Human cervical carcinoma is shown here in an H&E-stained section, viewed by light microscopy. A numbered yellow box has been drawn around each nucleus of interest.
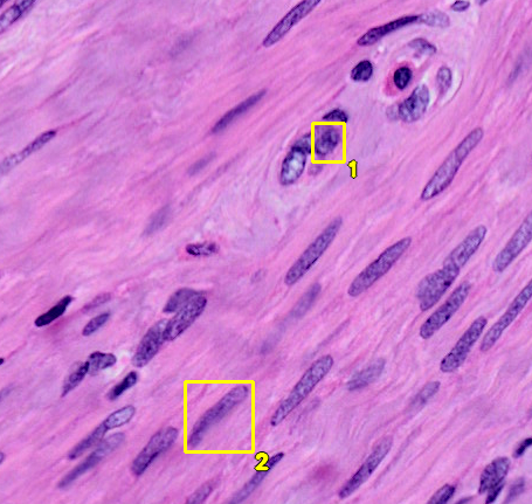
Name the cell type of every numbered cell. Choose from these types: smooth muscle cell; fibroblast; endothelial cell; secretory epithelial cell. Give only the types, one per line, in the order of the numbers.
endothelial cell
smooth muscle cell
